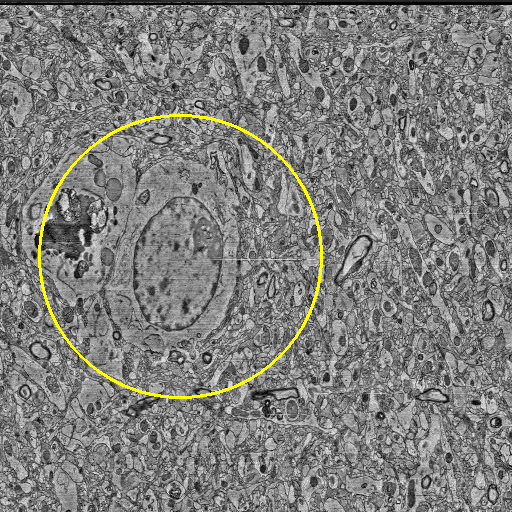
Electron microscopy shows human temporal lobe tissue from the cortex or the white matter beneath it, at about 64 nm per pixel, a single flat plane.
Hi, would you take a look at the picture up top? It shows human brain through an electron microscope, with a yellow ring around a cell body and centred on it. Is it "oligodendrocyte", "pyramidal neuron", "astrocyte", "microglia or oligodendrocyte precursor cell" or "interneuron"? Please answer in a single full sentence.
The best fit for the cell in the middle of the ring is an astrocyte, I reckon.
